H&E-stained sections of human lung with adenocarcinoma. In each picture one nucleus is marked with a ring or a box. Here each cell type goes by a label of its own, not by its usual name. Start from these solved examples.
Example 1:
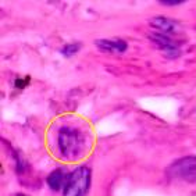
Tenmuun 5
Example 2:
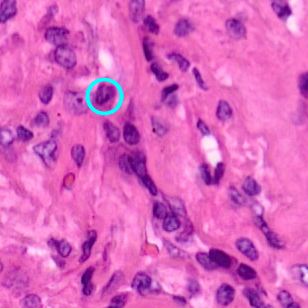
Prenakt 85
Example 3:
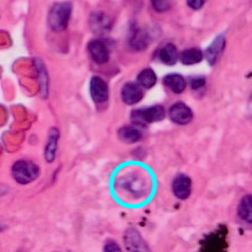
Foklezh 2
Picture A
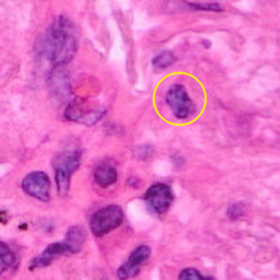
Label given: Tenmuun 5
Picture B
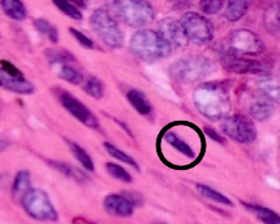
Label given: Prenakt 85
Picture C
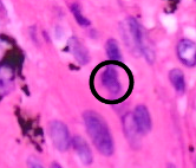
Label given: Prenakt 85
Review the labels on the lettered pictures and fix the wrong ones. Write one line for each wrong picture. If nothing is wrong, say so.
B: not Prenakt 85 but Tenmuun 5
